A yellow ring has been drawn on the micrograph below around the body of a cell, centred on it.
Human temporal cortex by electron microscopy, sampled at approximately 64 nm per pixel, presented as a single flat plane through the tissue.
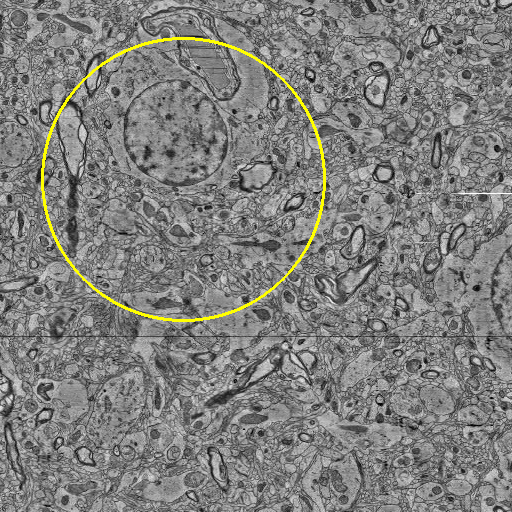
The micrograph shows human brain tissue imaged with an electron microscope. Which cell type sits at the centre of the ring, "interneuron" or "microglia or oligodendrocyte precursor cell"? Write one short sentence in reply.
The cell sitting at the centre of the ring is a microglial cell or oligodendrocyte precursor cell.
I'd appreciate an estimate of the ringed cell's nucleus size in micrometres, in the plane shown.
In this plane the ringed cell's nucleus is roughly 7 micrometres across.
